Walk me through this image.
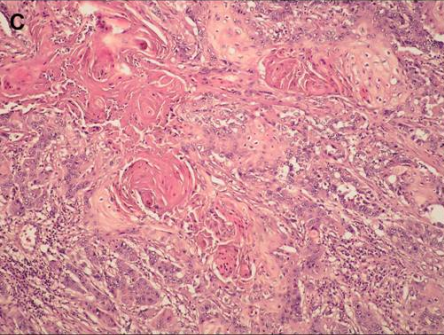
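This is a squamous cell carcinoma seen at low power, made of irregular nests of large atypical squamous epithelial cells. Within the nests lie several bright pink, concentrically layered whorls of keratin, the keratin pearls, ringed by polygonal cells with pink cytoplasm. The nests are separated by bands of stroma with scattered small, dark inflammatory cells, especially toward the lower left. Tumor nuclei are larger and more crowded than those of the surrounding stroma, and the nests have ragged, infiltrating borders.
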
